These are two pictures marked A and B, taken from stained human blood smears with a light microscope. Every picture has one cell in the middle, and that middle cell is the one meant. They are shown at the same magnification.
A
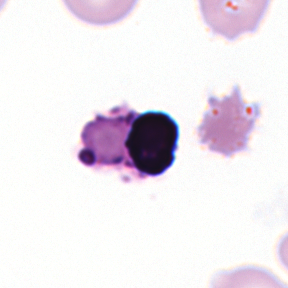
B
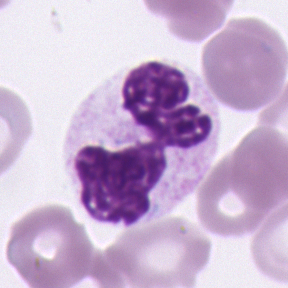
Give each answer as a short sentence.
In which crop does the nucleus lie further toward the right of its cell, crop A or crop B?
Seen within its cell, the nucleus in crop A lies further toward the right.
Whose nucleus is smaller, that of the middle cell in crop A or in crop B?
Crop A shows the smaller nucleus, since that in crop B covers about 4 times as much area.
